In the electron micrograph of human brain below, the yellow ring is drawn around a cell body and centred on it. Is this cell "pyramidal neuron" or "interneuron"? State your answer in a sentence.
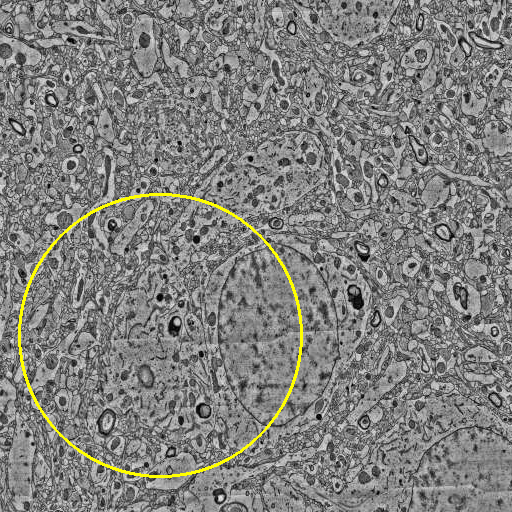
The cell in the middle of the ring is a pyramidal neuron.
